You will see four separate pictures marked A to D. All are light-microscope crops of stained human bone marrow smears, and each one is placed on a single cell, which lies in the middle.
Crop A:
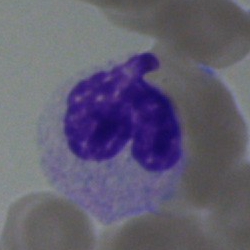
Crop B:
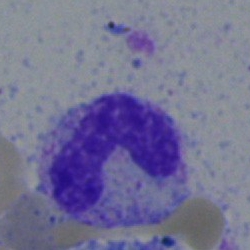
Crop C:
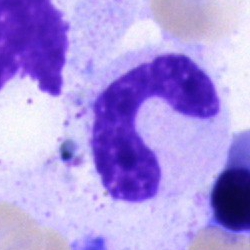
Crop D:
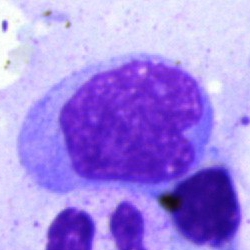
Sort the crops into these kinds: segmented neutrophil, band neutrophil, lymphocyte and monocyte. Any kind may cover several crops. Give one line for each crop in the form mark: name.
A: band neutrophil
B: band neutrophil
C: band neutrophil
D: monocyte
